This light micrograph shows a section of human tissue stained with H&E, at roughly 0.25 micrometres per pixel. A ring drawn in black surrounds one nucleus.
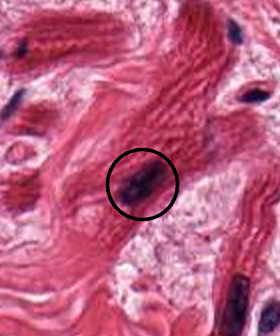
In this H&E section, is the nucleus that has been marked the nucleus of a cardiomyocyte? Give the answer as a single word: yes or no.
yes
